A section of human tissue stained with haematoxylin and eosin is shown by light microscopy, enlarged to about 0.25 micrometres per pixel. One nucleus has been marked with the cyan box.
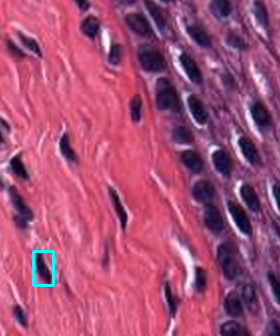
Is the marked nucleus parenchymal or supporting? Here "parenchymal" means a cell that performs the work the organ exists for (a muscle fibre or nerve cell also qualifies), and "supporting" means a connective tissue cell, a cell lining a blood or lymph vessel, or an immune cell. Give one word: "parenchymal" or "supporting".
supporting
